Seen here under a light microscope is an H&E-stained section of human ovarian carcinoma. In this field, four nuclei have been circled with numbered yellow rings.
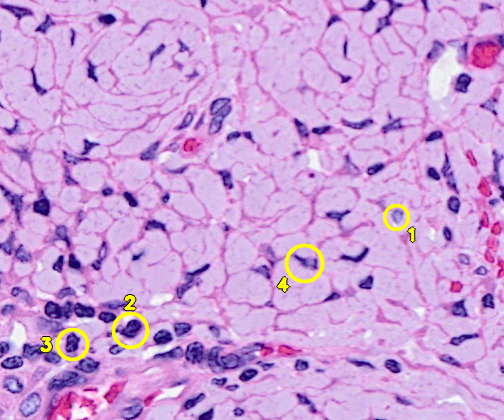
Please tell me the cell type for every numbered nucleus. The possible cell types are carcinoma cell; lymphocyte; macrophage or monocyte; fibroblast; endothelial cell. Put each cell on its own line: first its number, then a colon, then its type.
1: macrophage or monocyte
2: lymphocyte
3: lymphocyte
4: fibroblast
